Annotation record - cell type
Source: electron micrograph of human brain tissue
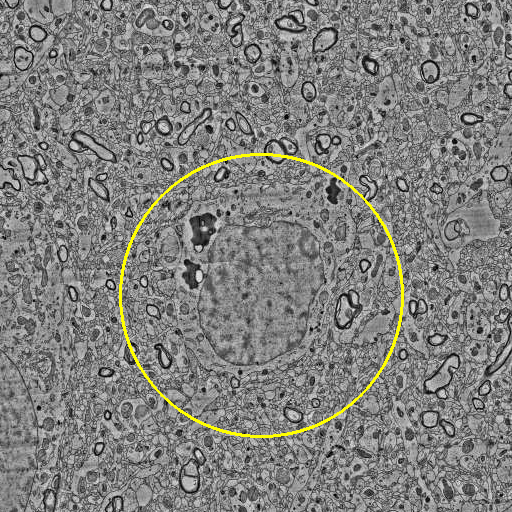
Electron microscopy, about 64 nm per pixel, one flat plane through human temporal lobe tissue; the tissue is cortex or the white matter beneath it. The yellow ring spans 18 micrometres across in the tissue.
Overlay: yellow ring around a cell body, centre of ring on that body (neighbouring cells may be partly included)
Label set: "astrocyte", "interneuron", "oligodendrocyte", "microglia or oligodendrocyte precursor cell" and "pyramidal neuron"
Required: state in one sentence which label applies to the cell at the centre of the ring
This cell should be labelled as an interneuron.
